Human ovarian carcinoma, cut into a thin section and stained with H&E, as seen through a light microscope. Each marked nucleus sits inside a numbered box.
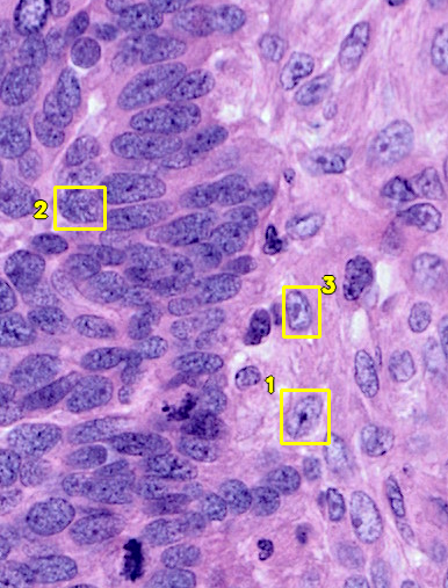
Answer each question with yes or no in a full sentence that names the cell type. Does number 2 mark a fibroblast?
No, the cell at marker 2 is not a fibroblast; it is a carcinoma cell.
